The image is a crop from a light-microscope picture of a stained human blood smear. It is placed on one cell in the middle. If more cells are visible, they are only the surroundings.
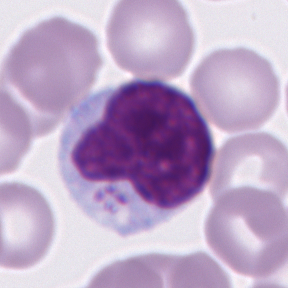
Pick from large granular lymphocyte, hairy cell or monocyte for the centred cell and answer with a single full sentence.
Classified as a large granular lymphocyte is the cell in the middle of this crop.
